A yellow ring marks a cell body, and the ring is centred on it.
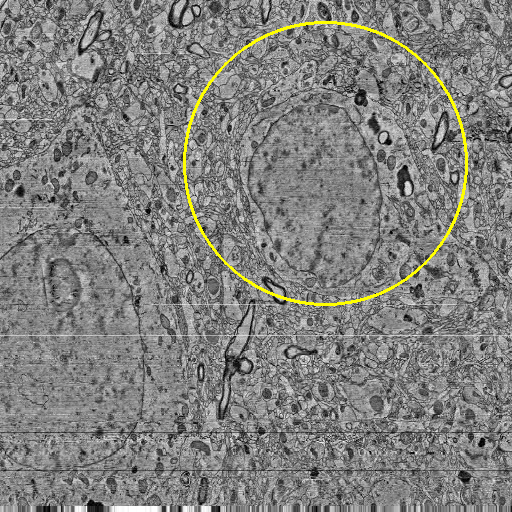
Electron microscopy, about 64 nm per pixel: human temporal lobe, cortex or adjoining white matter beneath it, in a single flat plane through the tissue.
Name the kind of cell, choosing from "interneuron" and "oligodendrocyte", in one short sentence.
The marked cell body belongs to an interneuron.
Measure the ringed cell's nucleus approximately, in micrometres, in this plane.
About 12 micrometres by about 8 micrometres in this plane.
